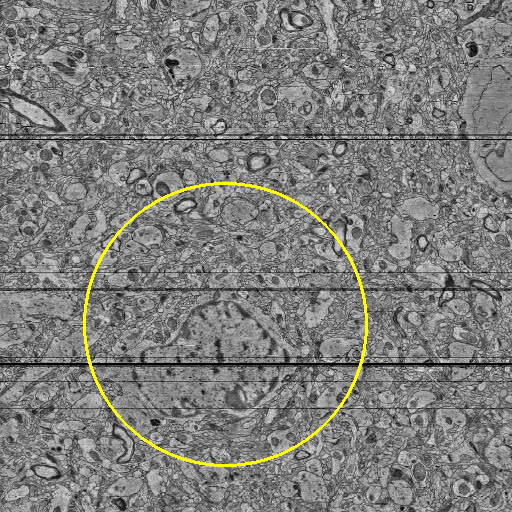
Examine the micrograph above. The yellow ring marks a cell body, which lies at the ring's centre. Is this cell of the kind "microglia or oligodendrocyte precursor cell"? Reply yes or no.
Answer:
yes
